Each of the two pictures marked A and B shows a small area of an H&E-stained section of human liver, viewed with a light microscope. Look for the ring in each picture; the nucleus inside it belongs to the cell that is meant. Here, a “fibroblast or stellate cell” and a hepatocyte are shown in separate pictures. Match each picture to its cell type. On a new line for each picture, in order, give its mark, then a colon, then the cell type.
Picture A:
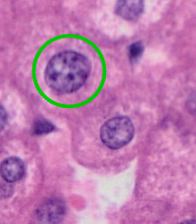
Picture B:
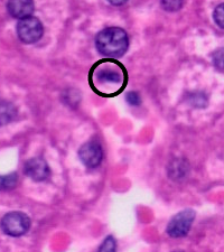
A: hepatocyte
B: fibroblast or stellate cell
